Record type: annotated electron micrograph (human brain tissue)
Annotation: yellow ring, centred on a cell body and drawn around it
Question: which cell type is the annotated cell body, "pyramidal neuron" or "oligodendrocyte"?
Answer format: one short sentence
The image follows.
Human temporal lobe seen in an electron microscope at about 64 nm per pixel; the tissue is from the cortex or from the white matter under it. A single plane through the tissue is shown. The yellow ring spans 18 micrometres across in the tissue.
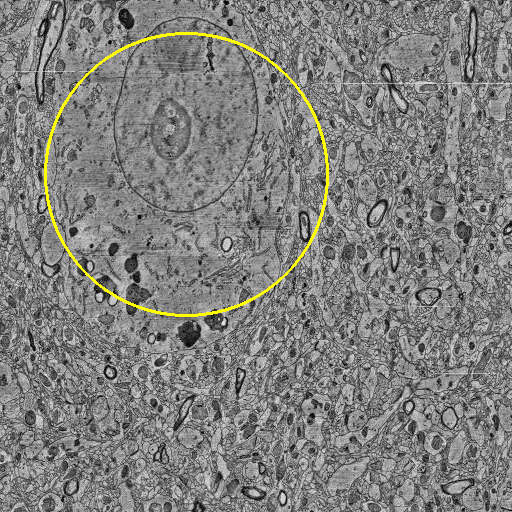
The annotated cell body is that of a pyramidal neuron.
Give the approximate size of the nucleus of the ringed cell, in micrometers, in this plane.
Approximately 13 x 9 micrometres in this plane.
